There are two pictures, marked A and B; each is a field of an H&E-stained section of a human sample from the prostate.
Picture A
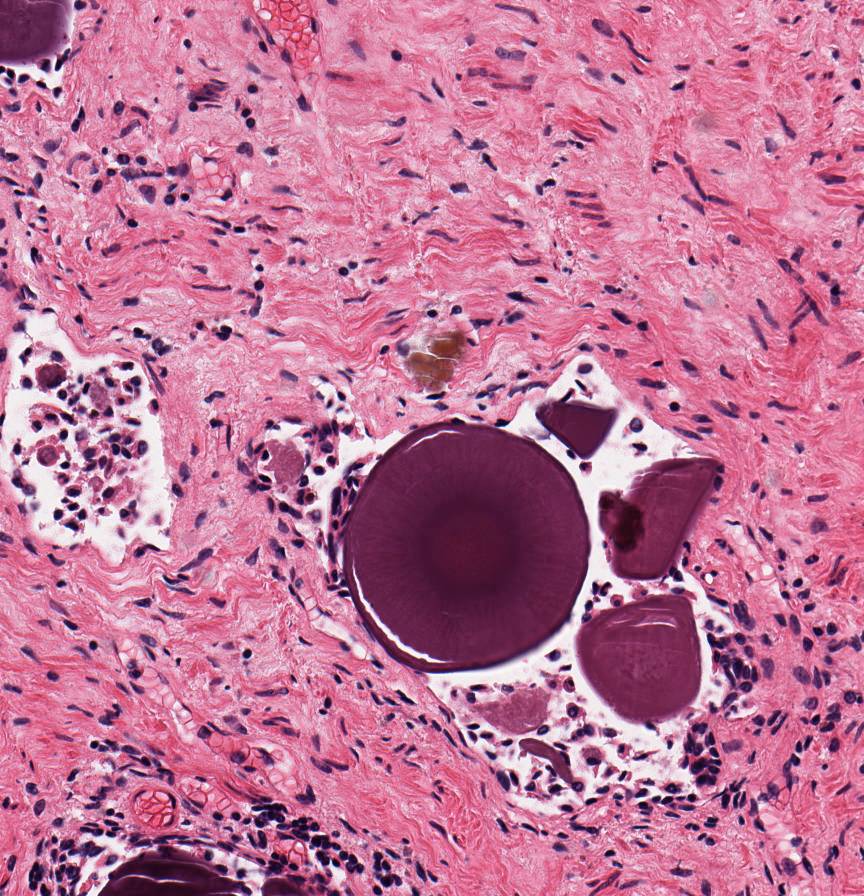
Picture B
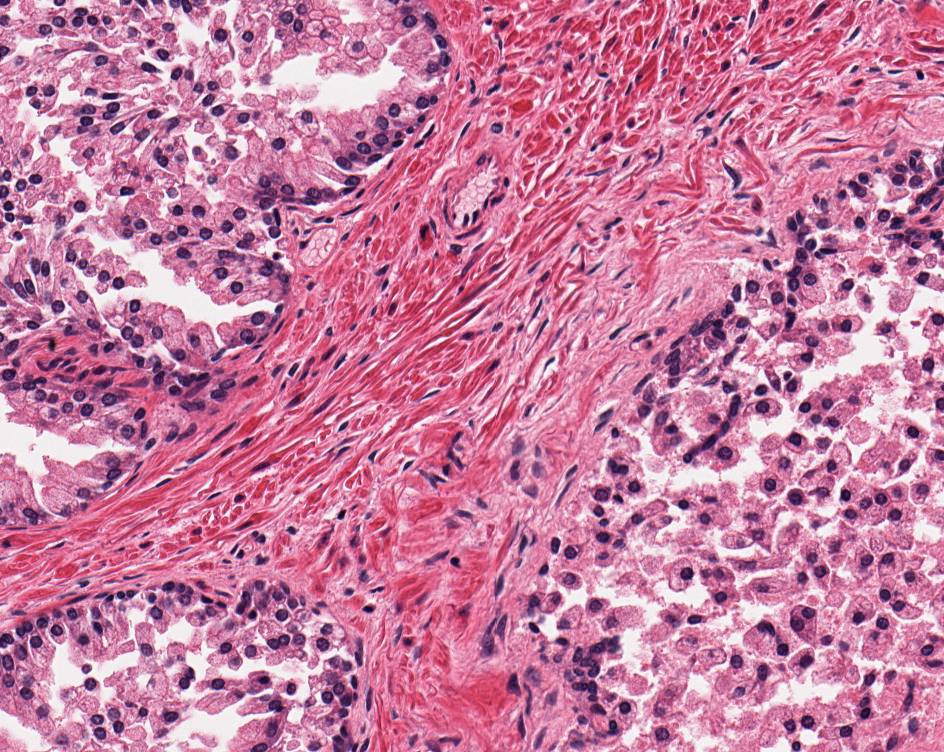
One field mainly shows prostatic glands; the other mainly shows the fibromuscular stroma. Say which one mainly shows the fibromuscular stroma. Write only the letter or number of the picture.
A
